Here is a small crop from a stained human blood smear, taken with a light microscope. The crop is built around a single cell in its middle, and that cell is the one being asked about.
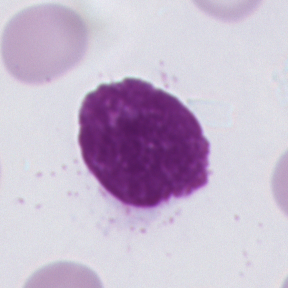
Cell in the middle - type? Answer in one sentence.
The cell around which this crop is centred is a smudge cell.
